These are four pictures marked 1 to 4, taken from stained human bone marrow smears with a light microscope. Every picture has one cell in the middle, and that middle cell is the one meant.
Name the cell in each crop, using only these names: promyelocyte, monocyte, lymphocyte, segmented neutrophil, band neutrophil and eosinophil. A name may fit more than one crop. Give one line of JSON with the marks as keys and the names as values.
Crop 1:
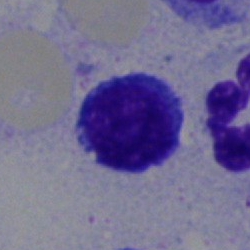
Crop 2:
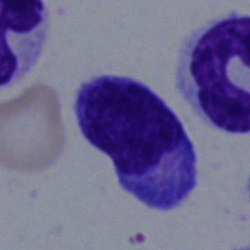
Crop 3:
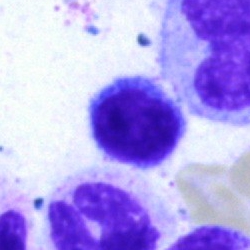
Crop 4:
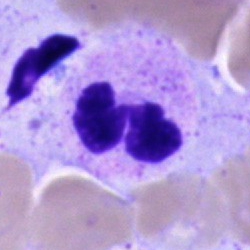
{"1": "lymphocyte", "2": "lymphocyte", "3": "lymphocyte", "4": "segmented neutrophil"}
